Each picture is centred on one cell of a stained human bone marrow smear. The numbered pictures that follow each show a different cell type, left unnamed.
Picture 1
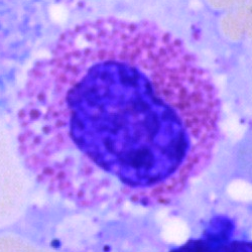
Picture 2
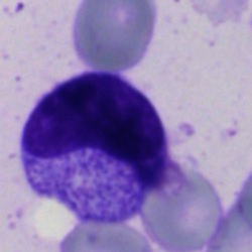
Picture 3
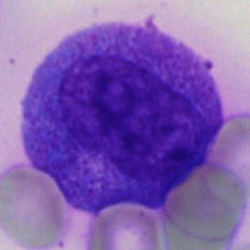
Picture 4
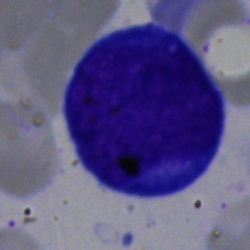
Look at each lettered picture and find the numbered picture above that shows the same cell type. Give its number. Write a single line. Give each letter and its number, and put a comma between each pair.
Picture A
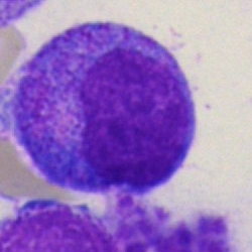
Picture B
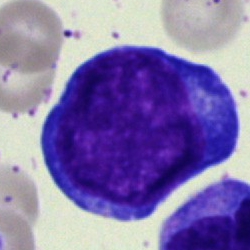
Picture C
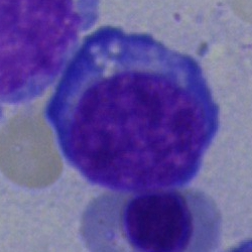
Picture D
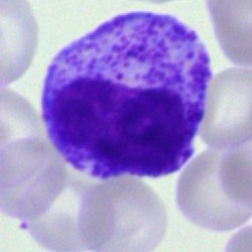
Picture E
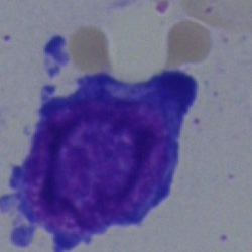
A 3, B 4, C 4, D 2, E 4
